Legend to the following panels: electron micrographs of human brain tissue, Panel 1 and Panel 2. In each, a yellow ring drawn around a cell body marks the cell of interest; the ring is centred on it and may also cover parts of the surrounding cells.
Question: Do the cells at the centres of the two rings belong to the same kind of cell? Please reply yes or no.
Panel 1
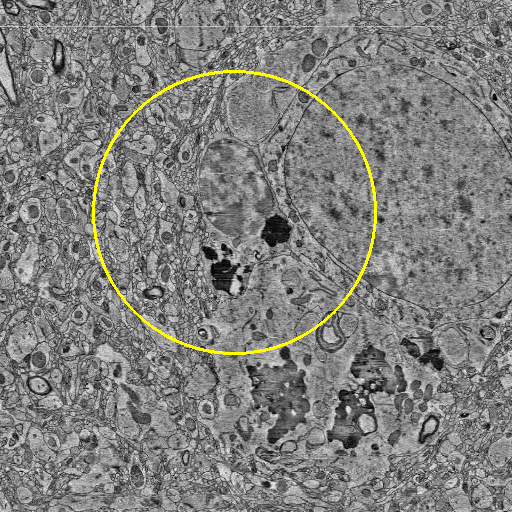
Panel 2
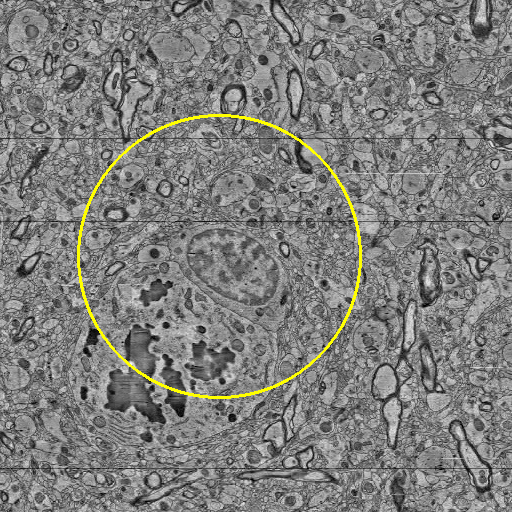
yes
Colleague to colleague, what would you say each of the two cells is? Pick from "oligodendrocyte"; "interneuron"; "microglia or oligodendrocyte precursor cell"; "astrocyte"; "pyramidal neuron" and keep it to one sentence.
Each cell at the centre of a ring is an oligodendrocyte.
